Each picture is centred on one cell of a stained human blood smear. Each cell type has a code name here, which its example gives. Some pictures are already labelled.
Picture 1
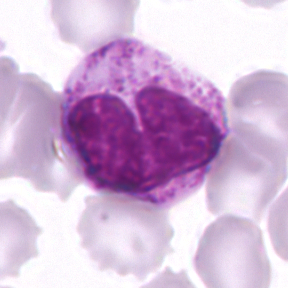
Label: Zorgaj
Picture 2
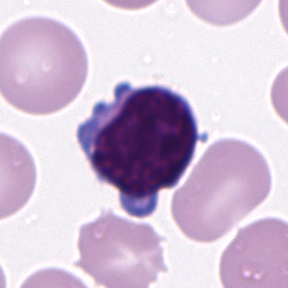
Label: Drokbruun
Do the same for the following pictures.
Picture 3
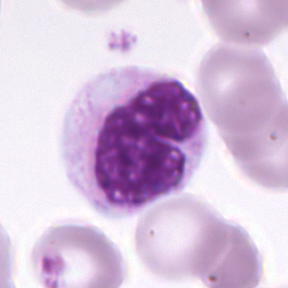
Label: Zorgaj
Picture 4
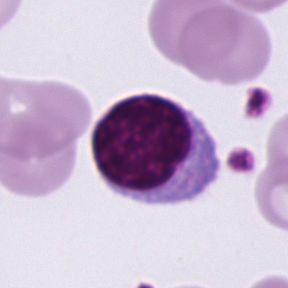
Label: Drokbruun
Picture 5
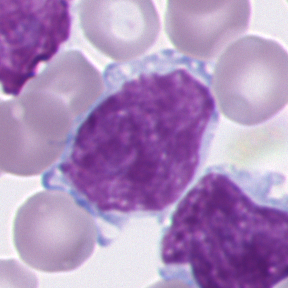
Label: Drokbruun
